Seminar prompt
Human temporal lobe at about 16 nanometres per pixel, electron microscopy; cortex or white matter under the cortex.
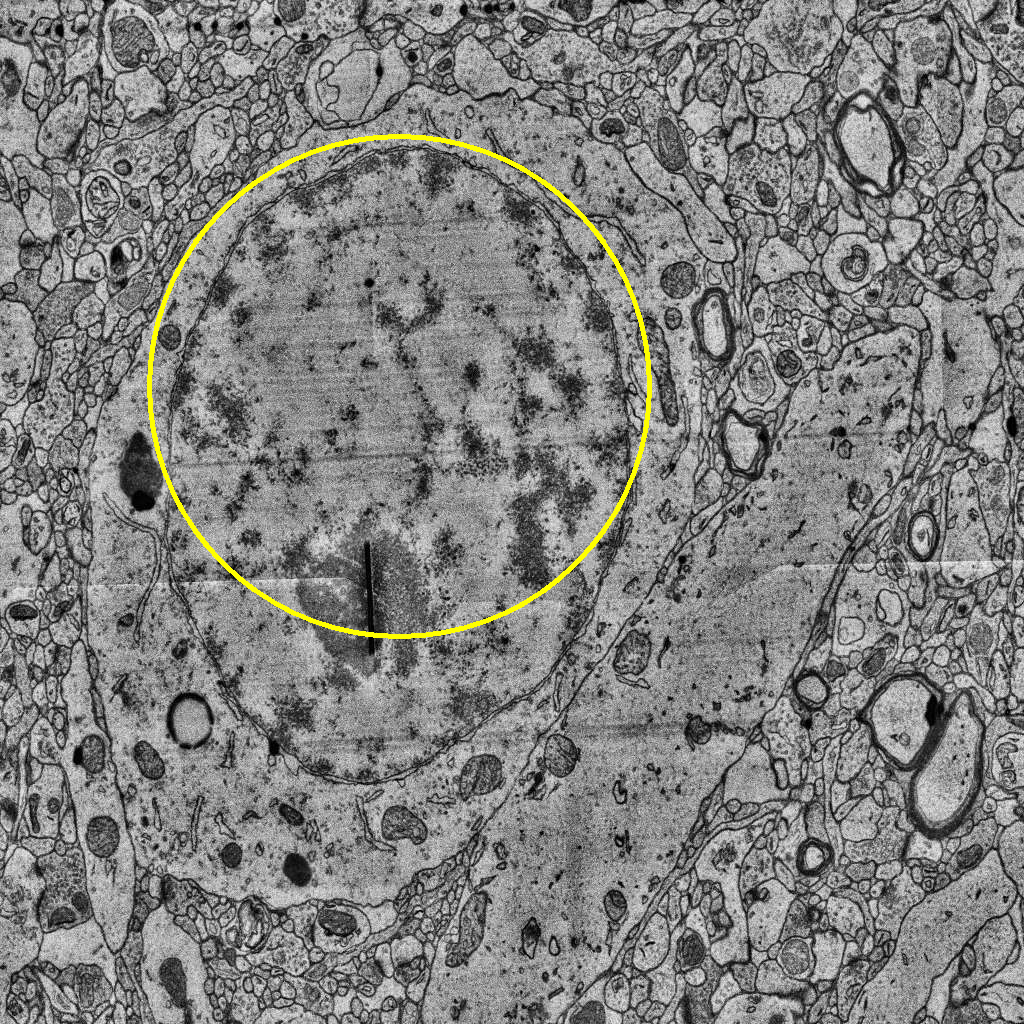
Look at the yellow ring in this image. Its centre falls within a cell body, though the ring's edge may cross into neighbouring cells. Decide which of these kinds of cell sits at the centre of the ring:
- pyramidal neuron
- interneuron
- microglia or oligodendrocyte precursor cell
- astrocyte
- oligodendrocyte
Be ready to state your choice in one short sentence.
The kind of cell at the ring's centre is an interneuron.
